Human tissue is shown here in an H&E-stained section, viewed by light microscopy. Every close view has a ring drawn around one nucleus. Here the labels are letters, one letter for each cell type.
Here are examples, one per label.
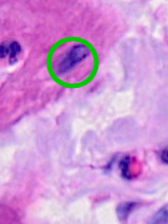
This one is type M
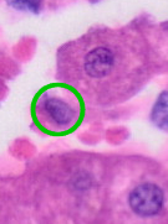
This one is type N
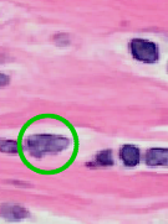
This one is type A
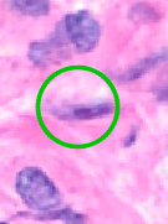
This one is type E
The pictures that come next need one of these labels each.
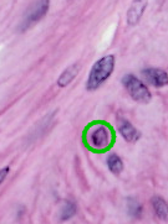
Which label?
type M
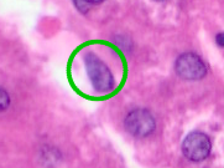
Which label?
type N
